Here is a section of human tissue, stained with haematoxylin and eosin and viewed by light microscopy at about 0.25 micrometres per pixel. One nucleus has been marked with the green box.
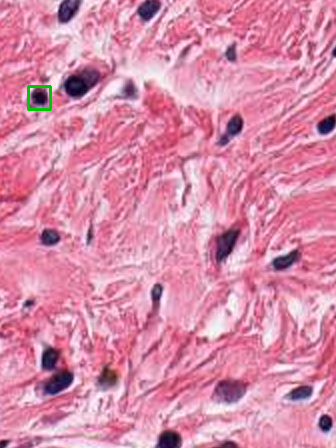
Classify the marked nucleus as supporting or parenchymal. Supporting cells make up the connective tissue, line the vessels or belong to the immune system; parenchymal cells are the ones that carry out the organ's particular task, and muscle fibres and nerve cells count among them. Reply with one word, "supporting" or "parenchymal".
supporting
